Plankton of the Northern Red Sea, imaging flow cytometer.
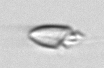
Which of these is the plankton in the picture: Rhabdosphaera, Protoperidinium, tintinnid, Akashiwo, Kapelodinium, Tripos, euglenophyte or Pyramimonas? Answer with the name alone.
Kapelodinium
